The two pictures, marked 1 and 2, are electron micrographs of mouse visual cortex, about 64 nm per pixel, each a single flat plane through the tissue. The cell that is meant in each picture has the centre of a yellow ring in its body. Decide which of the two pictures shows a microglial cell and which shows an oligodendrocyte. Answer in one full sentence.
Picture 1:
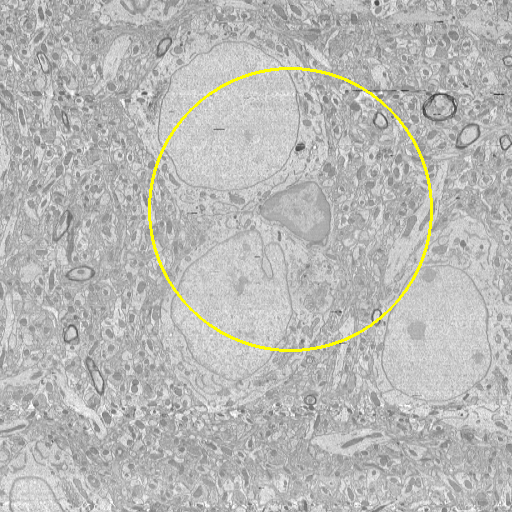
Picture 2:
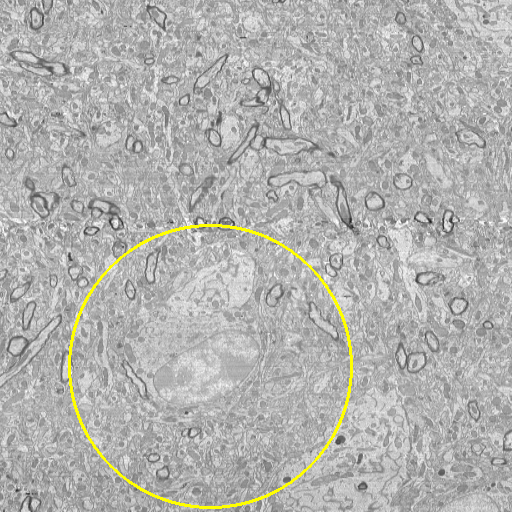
Picture 2 shows an oligodendrocyte, while picture 1 shows a microglial cell.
